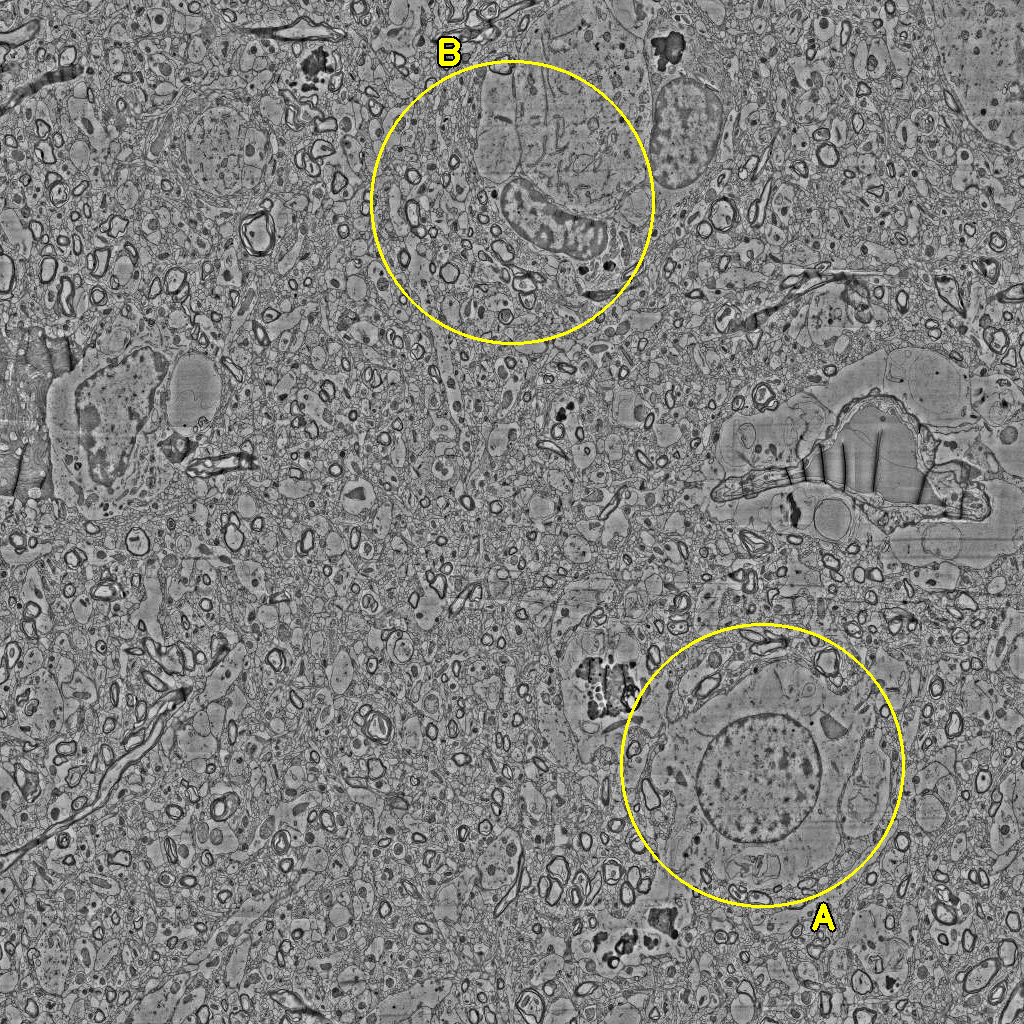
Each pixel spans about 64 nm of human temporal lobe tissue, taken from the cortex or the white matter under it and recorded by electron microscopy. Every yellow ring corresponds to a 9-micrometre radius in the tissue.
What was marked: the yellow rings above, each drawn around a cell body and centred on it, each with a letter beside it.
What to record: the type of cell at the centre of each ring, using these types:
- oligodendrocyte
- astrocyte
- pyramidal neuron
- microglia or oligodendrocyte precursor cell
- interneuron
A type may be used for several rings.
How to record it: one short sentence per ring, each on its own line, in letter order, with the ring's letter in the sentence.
Centred in ring A is an astrocyte.
Centred in ring B is a microglial cell or oligodendrocyte precursor cell.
